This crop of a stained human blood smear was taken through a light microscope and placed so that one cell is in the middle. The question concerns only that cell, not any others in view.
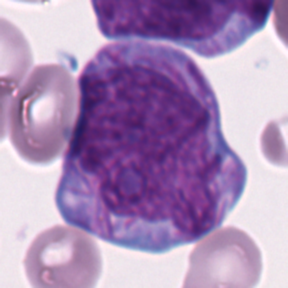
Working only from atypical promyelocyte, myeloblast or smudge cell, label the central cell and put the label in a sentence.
Classification of the middle cell gives an atypical promyelocyte.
